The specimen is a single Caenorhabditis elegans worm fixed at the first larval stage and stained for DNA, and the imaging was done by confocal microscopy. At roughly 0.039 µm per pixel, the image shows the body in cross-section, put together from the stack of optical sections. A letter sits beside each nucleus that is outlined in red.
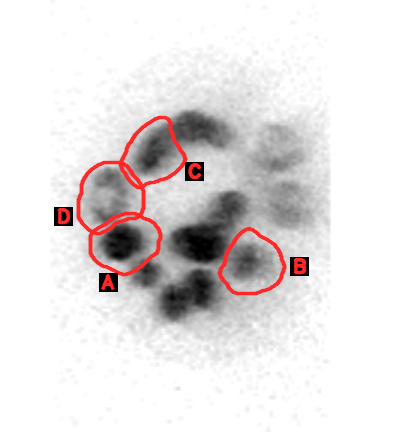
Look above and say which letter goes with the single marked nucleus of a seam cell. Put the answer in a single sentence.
The nucleus of a seam cell is D.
